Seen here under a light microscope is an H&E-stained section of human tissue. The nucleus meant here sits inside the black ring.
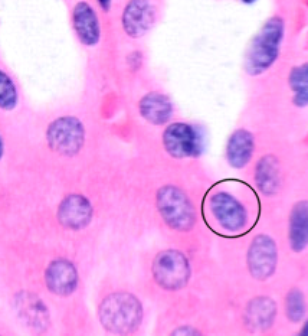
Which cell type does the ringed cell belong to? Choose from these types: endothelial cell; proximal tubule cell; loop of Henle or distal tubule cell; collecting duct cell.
loop of Henle or distal tubule cell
